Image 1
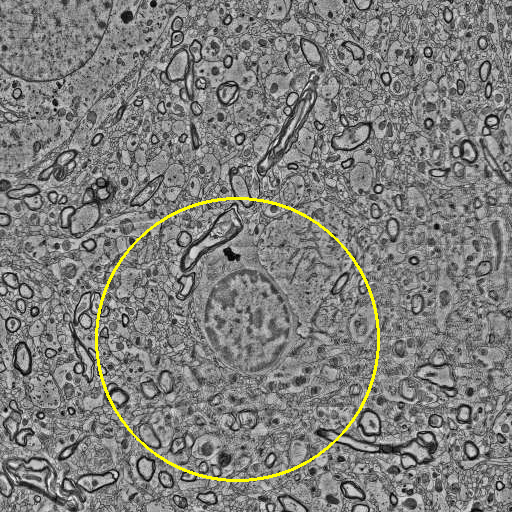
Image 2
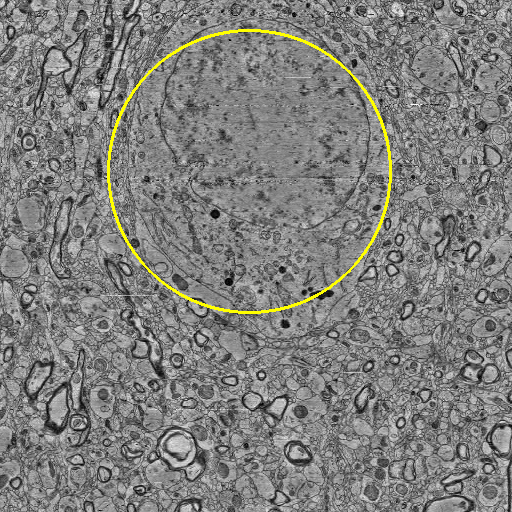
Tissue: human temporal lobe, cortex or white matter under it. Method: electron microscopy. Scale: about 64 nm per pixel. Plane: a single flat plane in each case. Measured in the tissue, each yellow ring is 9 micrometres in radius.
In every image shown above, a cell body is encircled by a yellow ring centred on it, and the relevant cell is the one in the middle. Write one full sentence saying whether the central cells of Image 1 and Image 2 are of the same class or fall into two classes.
The cell at the ring's centre in Image 1 and its counterpart in Image 2 fall into two classes.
